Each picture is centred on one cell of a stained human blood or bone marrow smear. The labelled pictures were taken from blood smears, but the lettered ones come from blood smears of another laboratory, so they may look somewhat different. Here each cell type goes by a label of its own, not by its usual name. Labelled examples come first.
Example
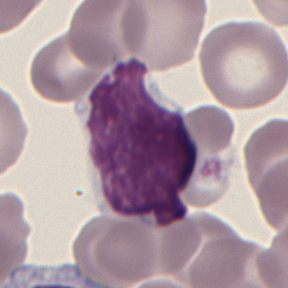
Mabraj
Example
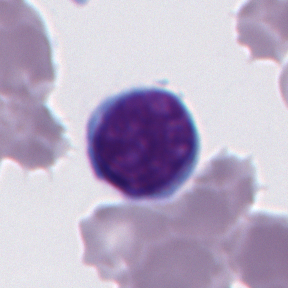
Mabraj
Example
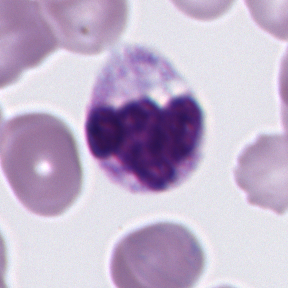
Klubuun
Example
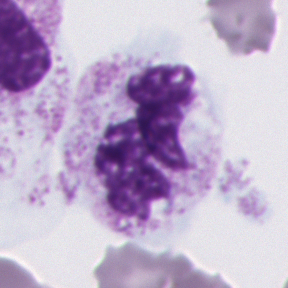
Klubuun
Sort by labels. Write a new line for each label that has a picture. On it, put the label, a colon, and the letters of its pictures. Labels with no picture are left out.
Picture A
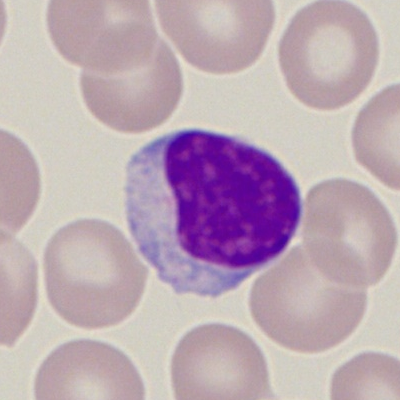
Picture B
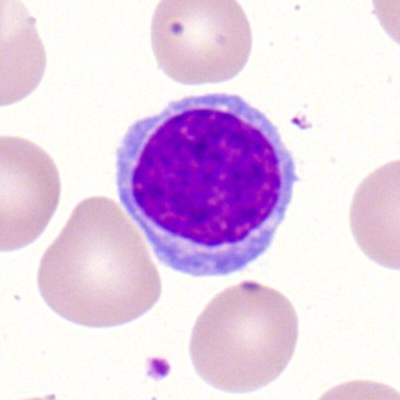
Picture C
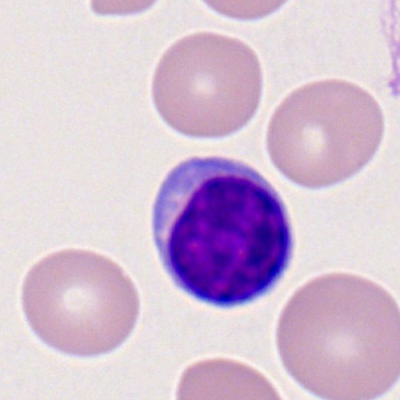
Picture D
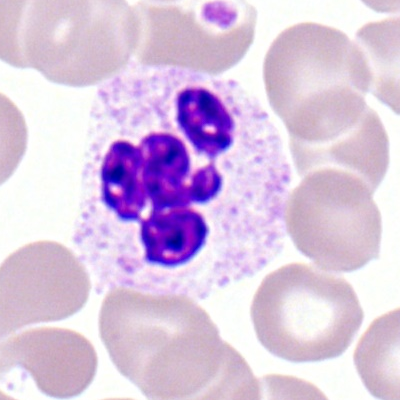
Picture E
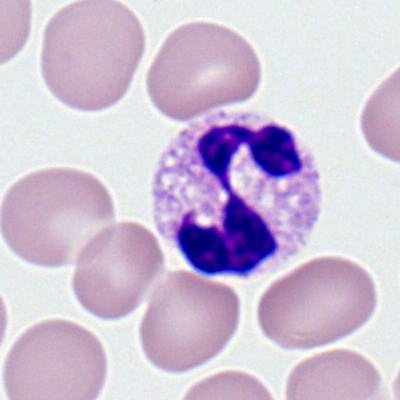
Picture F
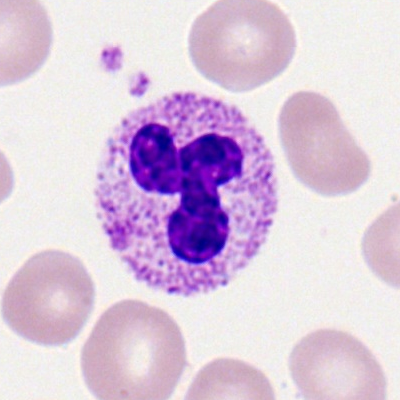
Mabraj: A, B, C
Klubuun: D, E, F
